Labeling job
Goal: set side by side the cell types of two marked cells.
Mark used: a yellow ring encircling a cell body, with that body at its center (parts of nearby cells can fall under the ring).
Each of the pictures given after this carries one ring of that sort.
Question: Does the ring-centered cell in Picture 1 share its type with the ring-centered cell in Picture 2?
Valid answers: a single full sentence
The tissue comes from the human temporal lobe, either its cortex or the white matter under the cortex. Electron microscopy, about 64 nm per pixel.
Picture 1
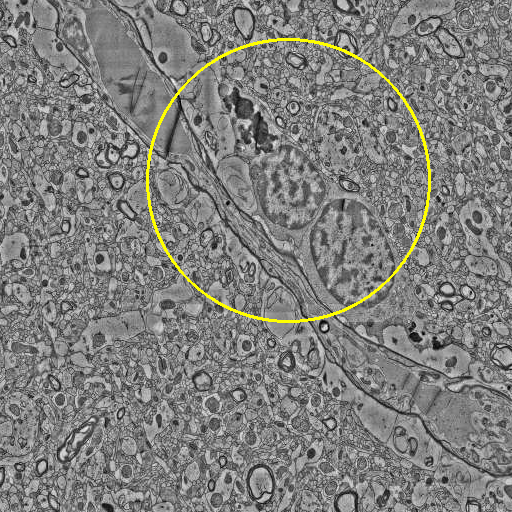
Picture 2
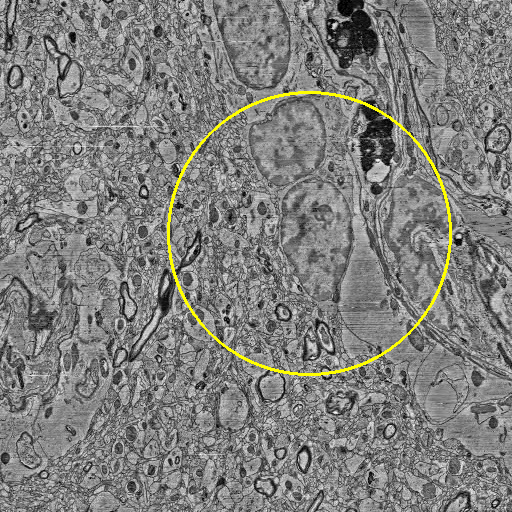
Yes, in Pictures 1 and 2 the cells at the ring centers share one type.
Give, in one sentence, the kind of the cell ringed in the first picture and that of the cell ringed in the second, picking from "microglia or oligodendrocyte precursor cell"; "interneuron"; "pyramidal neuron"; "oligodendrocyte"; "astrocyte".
Each of the two pictures has an oligodendrocyte at the ring centre.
